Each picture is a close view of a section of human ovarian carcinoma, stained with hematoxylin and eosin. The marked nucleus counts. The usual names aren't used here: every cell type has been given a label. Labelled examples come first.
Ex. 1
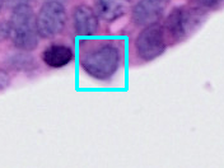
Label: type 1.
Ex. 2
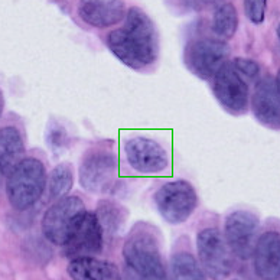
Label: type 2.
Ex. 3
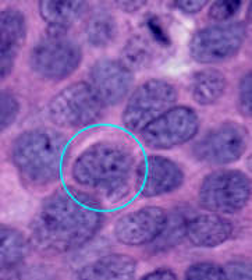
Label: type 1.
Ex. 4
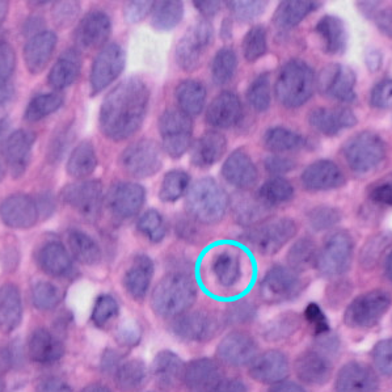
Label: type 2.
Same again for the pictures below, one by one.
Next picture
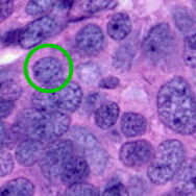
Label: type 1.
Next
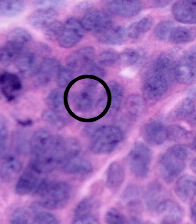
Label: type 1.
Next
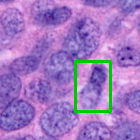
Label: type 2.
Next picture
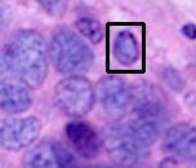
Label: type 2.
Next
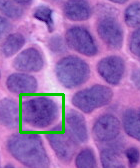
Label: type 1.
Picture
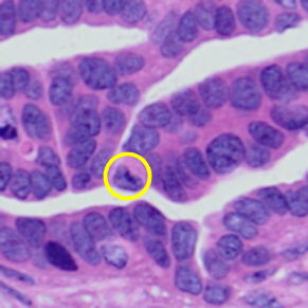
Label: type 2.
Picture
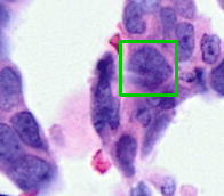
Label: type 1.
